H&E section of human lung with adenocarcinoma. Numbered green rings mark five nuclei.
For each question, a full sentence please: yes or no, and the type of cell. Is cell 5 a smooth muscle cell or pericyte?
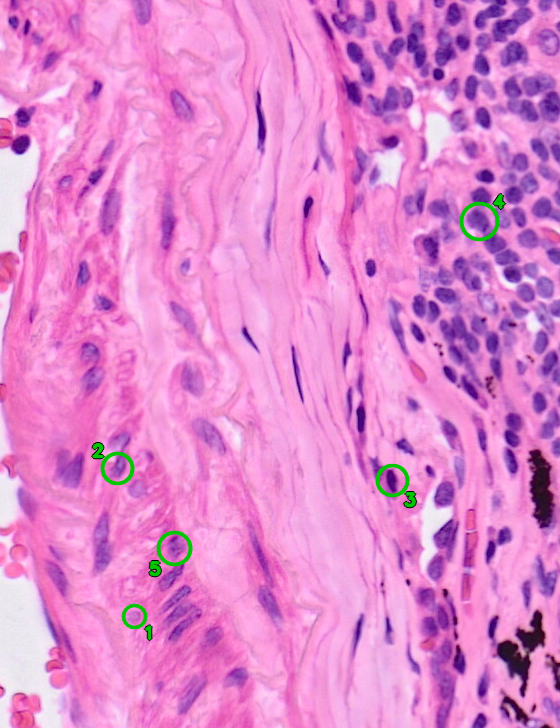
Yes, the cell pointed out as number 5 is a smooth muscle cell or pericyte.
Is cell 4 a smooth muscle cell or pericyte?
No, cell 4 is not a smooth muscle cell or pericyte; a lymphocyte is the correct identification.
